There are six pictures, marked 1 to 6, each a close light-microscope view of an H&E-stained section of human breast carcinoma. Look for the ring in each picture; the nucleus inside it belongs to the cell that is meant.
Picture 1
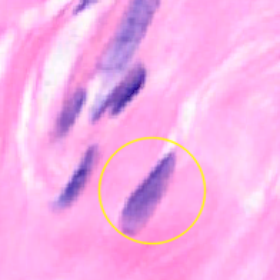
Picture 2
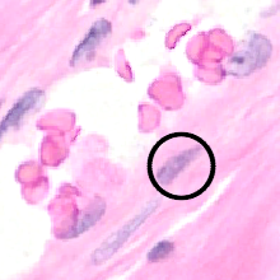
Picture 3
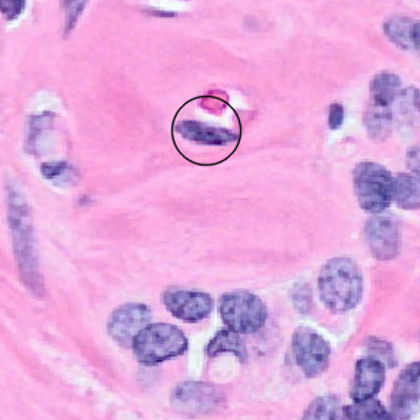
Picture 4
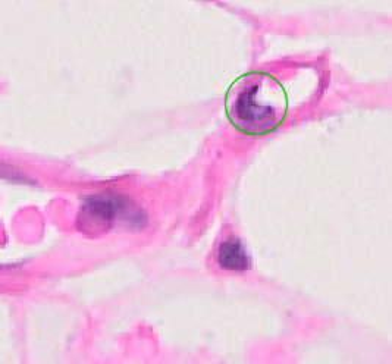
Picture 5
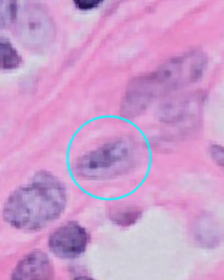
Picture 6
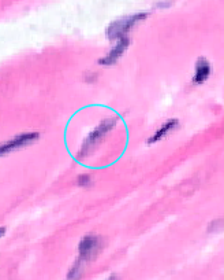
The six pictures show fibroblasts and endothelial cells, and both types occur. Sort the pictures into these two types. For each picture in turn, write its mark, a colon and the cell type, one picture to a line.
1: fibroblast
2: endothelial cell
3: endothelial cell
4: endothelial cell
5: endothelial cell
6: fibroblast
